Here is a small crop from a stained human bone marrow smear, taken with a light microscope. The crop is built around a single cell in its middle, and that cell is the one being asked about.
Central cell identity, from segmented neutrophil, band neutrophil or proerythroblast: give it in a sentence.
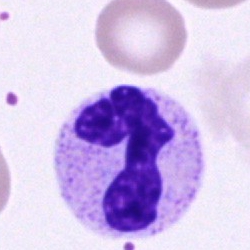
At the center of the crop sits a segmented neutrophil.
